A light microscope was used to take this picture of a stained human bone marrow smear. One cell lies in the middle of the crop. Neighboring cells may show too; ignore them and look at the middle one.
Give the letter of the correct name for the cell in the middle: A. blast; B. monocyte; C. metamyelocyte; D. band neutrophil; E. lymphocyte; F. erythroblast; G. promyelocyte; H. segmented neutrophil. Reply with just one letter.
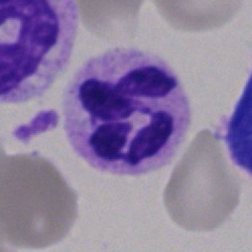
H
